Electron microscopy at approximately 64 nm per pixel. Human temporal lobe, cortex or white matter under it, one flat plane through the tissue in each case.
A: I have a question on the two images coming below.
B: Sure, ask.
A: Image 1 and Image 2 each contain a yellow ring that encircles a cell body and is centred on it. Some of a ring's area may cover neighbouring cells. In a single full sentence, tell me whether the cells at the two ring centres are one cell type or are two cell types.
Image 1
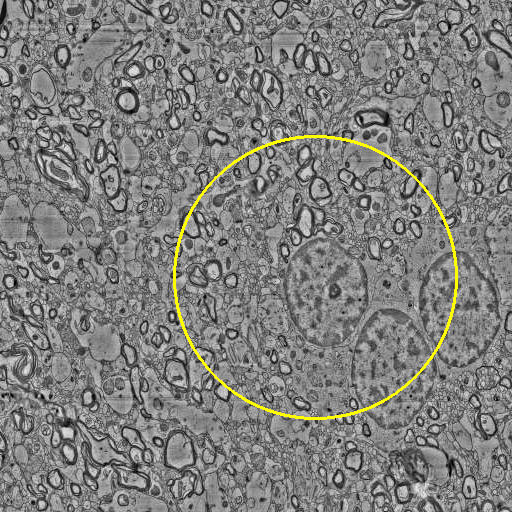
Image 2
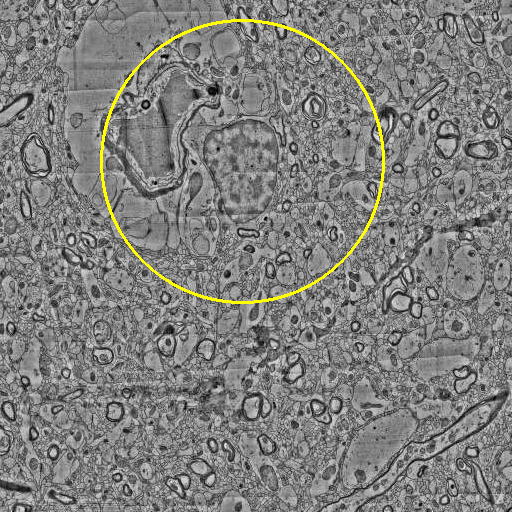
As for the ring-centre cells, the one in Image 1 and the one in Image 2 are one cell type.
